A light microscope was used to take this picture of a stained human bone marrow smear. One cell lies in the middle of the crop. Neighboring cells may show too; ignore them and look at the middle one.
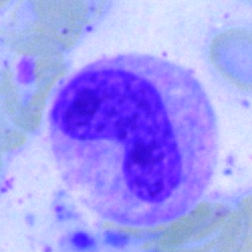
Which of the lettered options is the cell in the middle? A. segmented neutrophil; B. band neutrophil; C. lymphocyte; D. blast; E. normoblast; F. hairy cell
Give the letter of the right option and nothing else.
B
